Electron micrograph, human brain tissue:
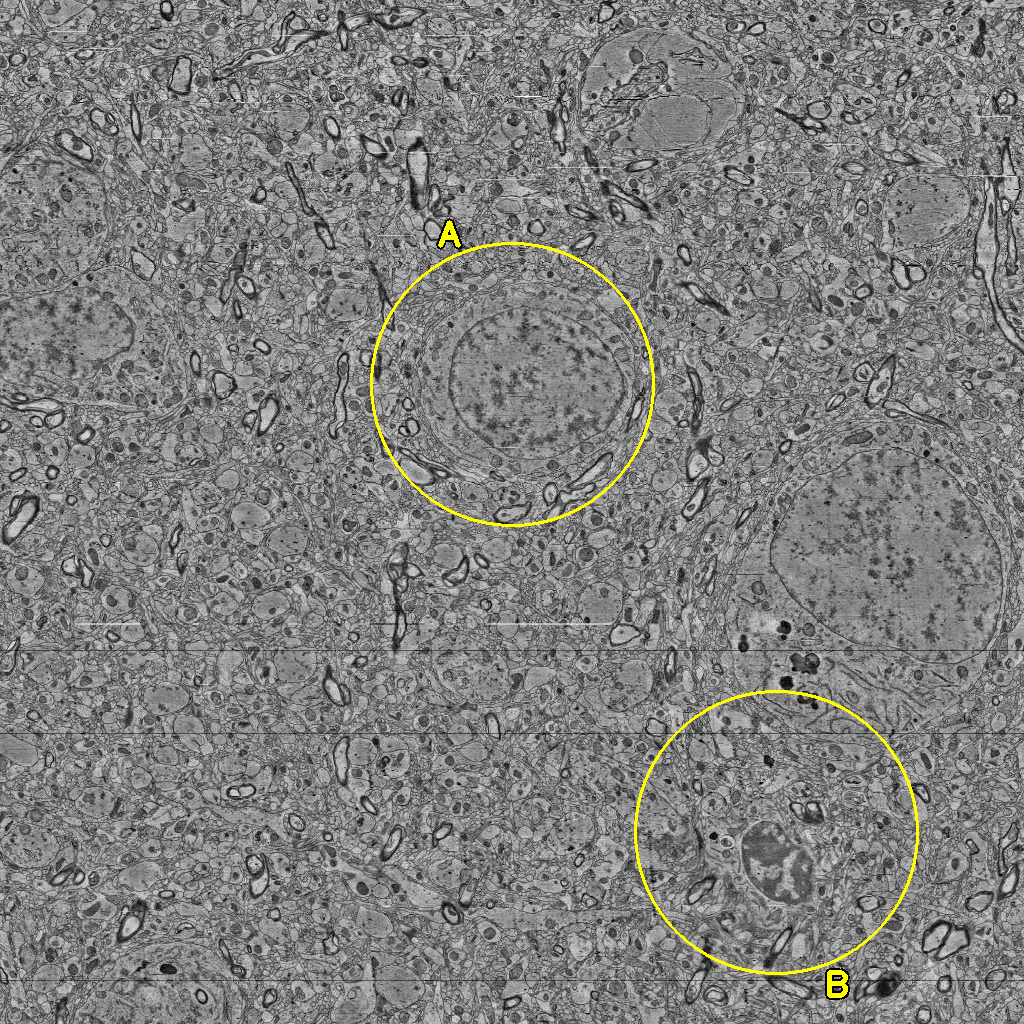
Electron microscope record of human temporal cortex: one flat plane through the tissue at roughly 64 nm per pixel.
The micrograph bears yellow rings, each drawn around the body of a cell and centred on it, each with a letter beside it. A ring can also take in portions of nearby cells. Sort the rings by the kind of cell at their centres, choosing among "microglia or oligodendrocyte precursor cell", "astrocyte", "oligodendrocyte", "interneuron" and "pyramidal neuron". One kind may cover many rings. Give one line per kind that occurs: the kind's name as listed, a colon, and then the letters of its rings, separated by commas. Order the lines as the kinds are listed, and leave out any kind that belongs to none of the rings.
microglia or oligodendrocyte precursor cell: B
interneuron: A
